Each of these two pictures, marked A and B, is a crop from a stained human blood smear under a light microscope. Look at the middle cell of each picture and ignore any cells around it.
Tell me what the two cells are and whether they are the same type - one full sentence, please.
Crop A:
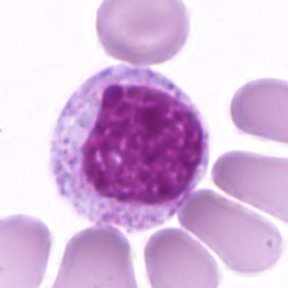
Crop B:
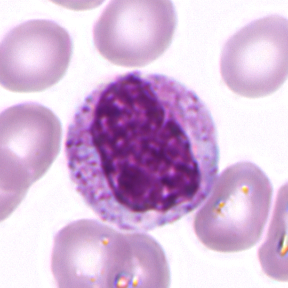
Yes, the cells found in the middle of both crops are metamyelocytes.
